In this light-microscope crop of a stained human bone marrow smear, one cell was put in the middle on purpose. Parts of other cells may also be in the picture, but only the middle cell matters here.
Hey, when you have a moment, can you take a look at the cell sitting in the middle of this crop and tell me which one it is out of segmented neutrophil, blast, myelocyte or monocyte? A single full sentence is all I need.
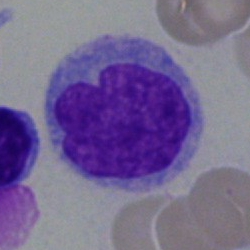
The cell that lies at the centre of the crop is a monocyte.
